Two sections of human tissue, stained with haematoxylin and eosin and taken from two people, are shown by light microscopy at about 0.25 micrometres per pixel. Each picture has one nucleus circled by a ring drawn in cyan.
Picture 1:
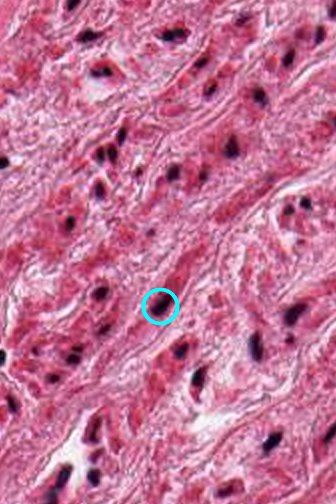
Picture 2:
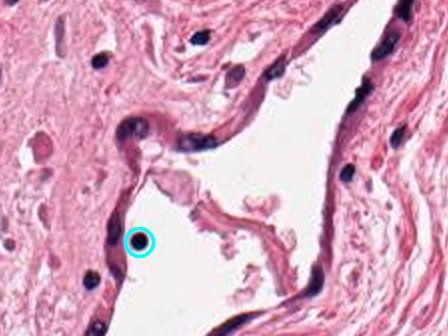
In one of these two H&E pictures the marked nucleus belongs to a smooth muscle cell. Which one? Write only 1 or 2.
1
